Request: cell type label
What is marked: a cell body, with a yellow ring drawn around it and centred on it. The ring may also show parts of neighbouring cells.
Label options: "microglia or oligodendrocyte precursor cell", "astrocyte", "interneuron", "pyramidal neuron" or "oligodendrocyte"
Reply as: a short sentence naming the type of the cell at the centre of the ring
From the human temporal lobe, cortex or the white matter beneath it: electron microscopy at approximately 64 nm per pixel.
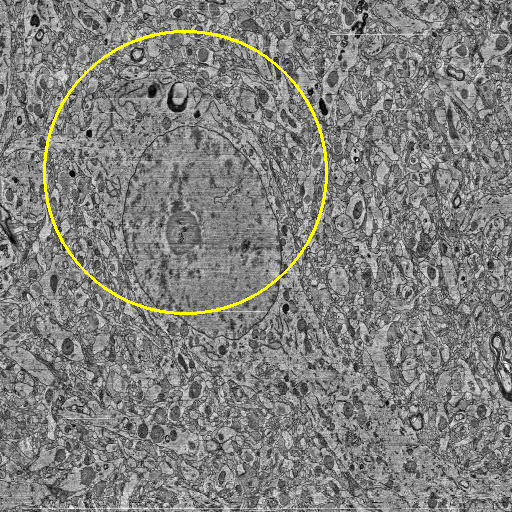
The marked cell body is that of a pyramidal neuron.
